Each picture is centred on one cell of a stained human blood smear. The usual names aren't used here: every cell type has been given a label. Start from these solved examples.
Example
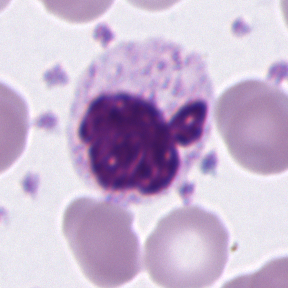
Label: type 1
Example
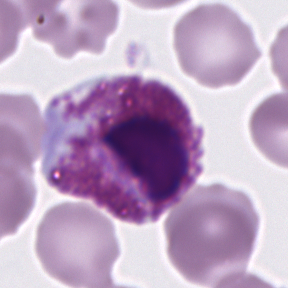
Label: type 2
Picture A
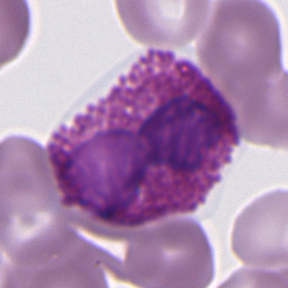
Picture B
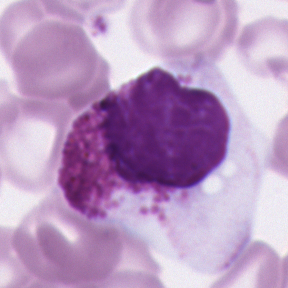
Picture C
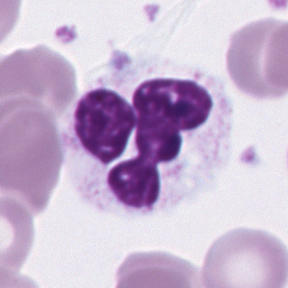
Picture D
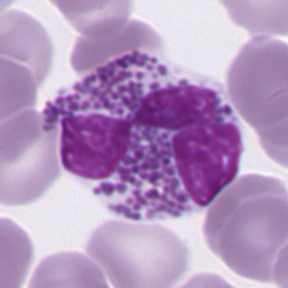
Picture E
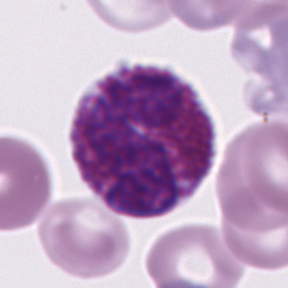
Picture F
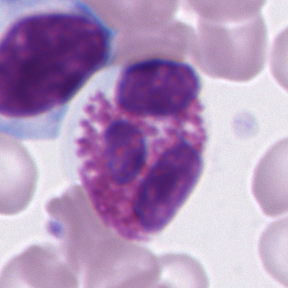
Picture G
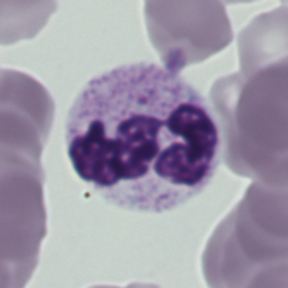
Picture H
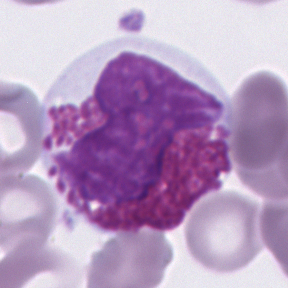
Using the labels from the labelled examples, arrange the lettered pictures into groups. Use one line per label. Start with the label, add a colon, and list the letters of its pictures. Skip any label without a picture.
type 1: C, G
type 2: A, B, D, E, F, H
